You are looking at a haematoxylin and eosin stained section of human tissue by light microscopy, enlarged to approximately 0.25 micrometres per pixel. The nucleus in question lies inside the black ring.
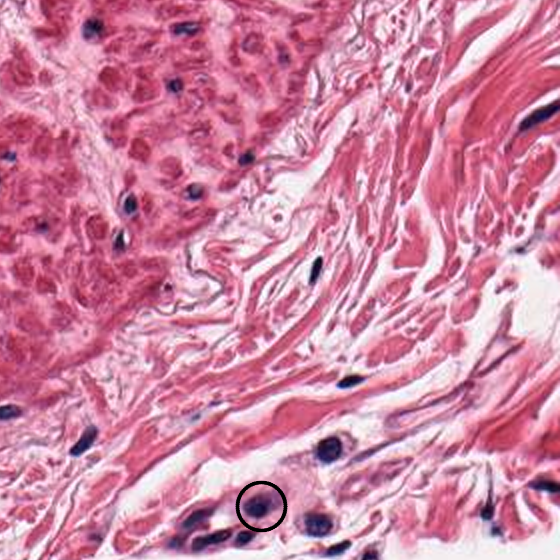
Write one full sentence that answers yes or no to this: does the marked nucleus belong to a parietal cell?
No, the marked nucleus sits in a supporting cell; a parietal cell does not contain it.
